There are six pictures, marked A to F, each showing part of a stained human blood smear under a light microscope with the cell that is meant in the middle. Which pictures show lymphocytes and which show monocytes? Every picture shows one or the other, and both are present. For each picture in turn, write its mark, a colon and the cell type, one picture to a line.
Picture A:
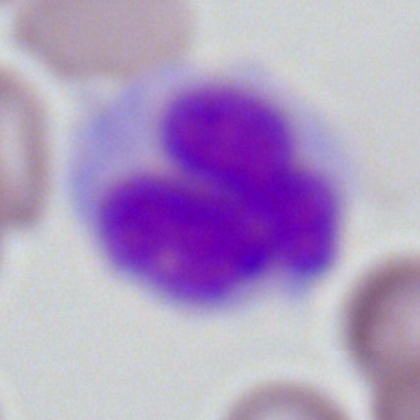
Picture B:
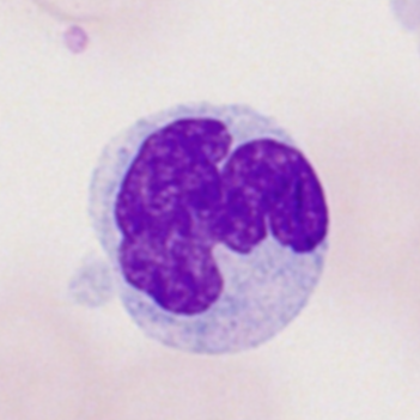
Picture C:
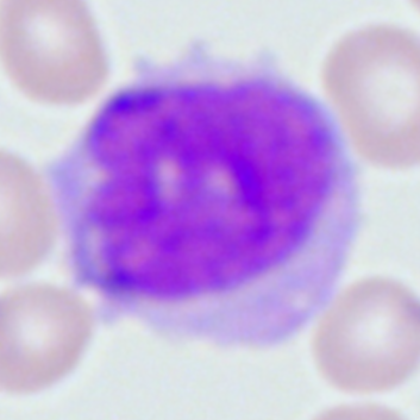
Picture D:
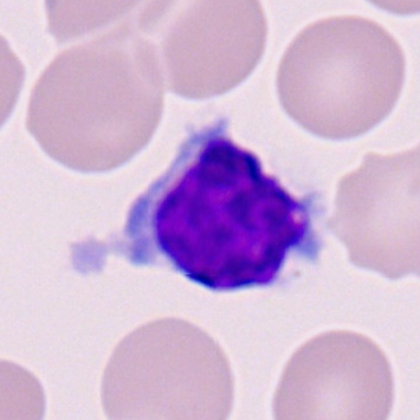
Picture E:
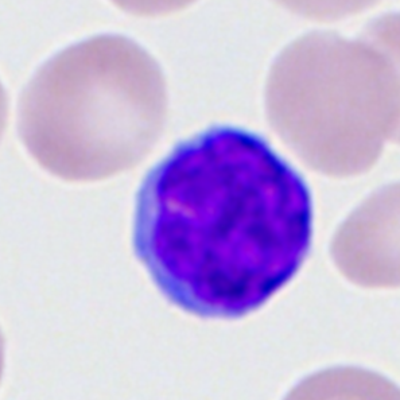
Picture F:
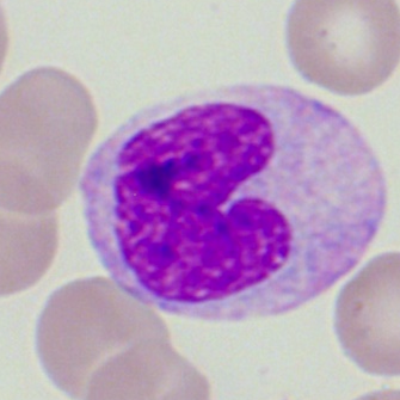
A: monocyte
B: monocyte
C: monocyte
D: lymphocyte
E: lymphocyte
F: monocyte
